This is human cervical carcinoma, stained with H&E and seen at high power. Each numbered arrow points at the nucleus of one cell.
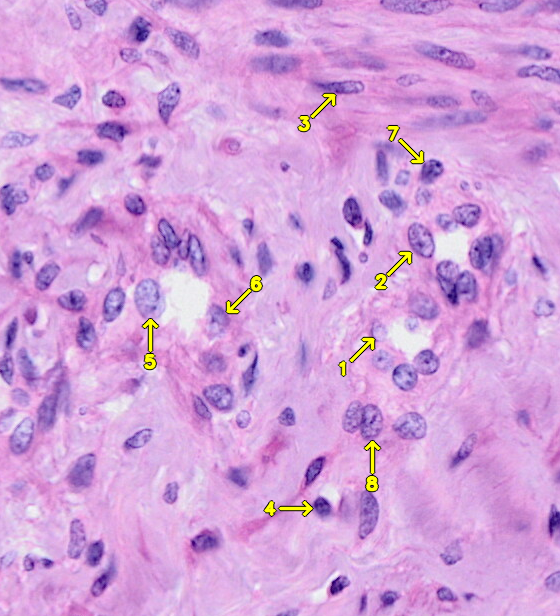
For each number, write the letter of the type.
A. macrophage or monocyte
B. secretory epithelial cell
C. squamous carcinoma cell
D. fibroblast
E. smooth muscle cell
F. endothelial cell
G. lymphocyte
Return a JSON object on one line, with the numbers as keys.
{"1": "F", "2": "F", "3": "E", "4": "G", "5": "F", "6": "F", "7": "G", "8": "F"}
